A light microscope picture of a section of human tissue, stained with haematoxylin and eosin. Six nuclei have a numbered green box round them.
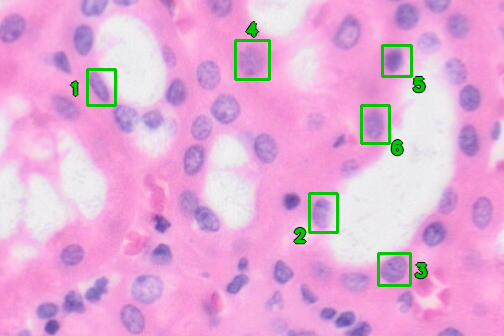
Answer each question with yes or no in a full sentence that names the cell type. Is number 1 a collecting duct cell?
Yes, the numbered cell 1 is identified as a collecting duct cell.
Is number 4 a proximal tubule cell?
Yes, the marked cell number 4 is a proximal tubule cell.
